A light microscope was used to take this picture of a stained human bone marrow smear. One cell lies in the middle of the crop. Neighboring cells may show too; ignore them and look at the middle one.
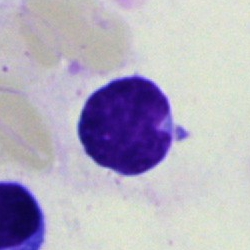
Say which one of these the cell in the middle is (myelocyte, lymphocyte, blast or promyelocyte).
lymphocyte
